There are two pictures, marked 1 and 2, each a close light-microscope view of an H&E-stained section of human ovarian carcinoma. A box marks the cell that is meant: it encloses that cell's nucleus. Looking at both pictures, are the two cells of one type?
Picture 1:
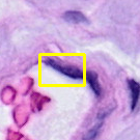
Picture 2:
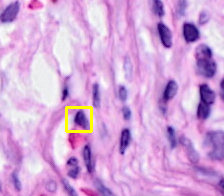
yes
